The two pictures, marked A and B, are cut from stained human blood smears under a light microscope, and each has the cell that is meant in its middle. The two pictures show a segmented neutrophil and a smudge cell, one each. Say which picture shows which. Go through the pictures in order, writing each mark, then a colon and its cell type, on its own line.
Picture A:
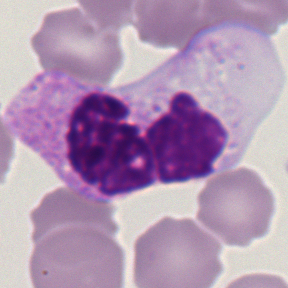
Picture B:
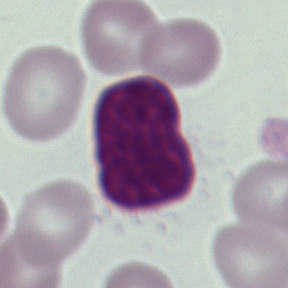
A: segmented neutrophil
B: smudge cell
